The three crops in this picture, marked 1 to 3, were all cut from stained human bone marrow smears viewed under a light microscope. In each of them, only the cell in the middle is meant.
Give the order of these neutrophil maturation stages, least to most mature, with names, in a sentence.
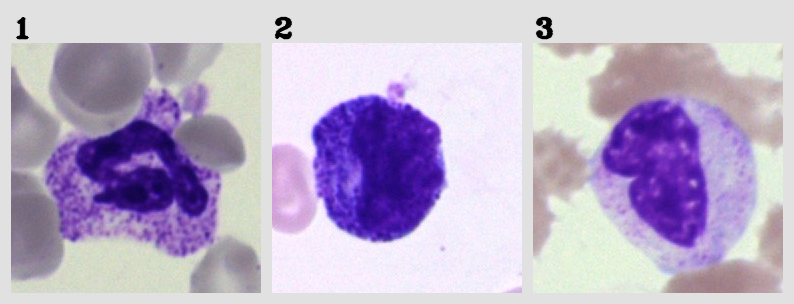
Taken from least to most mature, the sequence is crop 2 (a promyelocyte), crop 3 (a metamyelocyte) and crop 1 (a segmented neutrophil).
